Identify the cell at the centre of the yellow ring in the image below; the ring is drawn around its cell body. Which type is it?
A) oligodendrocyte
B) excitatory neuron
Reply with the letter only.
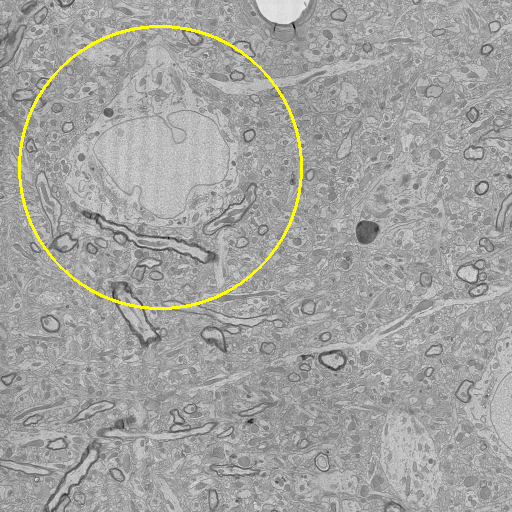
B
